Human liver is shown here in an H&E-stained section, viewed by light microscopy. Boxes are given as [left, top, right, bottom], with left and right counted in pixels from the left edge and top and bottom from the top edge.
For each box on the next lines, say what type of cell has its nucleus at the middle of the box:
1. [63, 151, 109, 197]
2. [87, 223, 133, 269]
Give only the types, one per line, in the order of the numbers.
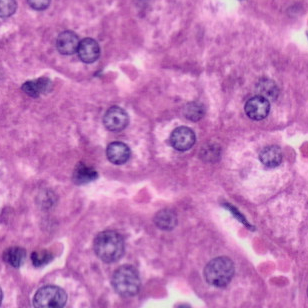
endothelial cell
hepatocyte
